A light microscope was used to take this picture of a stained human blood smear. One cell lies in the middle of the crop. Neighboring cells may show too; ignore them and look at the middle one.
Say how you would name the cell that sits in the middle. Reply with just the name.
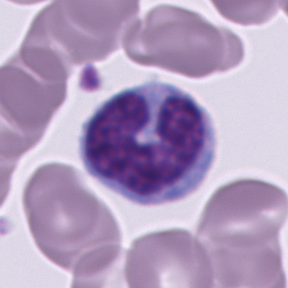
monocyte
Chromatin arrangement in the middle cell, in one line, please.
This nucleus has coarsely clumped chromatin.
